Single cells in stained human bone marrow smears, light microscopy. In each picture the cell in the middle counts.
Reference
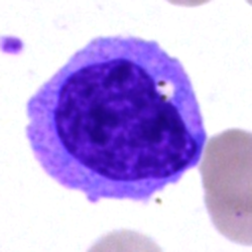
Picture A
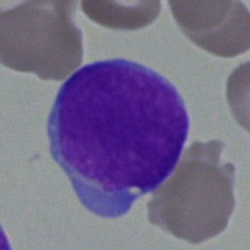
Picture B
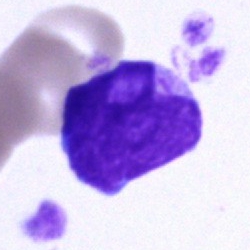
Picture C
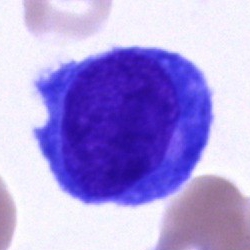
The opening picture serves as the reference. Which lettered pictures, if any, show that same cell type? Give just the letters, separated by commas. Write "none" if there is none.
none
